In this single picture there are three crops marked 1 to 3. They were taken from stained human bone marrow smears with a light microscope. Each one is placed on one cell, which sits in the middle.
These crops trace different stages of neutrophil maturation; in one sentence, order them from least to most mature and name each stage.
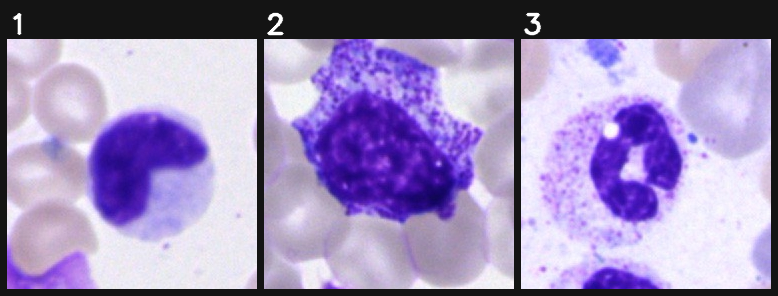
The maturity sequence, least mature to most mature, is crop 2 (a myelocyte), crop 1 (a metamyelocyte) and crop 3 (a segmented neutrophil).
